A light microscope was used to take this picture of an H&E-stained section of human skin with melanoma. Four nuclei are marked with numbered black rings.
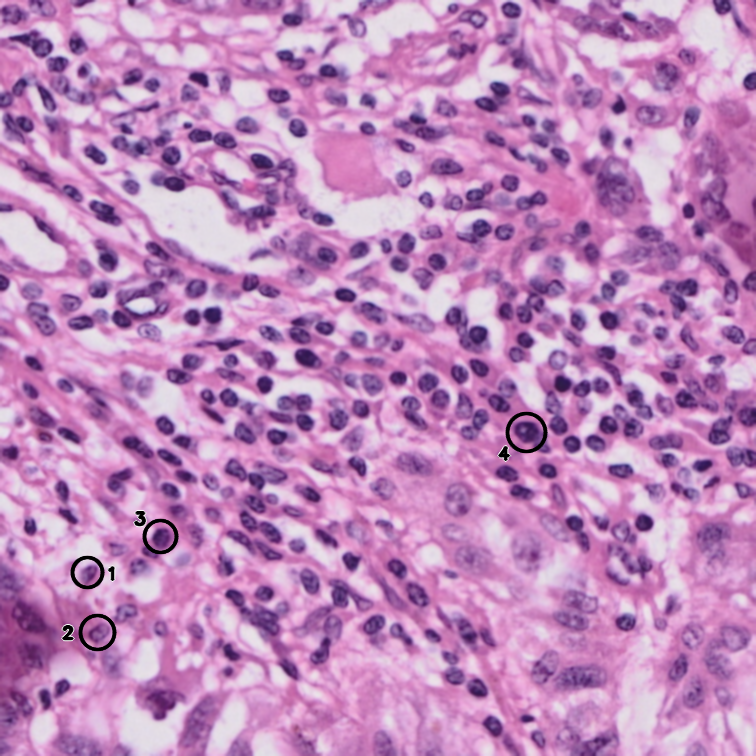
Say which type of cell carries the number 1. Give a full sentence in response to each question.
The cell referred to as 1 is a macrophage or monocyte.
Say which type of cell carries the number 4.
The one labeled 4 is a plasma cell, to put it simply.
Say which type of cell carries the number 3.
The correct answer for cell 3 is a plasma cell.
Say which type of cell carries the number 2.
The marked cell bearing number 2 is a macrophage or monocyte.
